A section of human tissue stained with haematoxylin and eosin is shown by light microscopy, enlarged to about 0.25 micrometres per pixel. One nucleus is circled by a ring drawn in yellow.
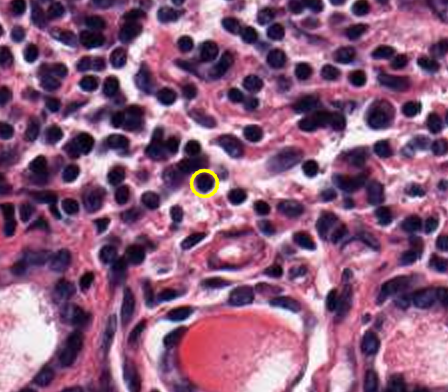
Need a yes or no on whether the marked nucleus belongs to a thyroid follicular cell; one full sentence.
No, the marked nucleus is attributed to a supporting cell, not to a thyroid follicular cell.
